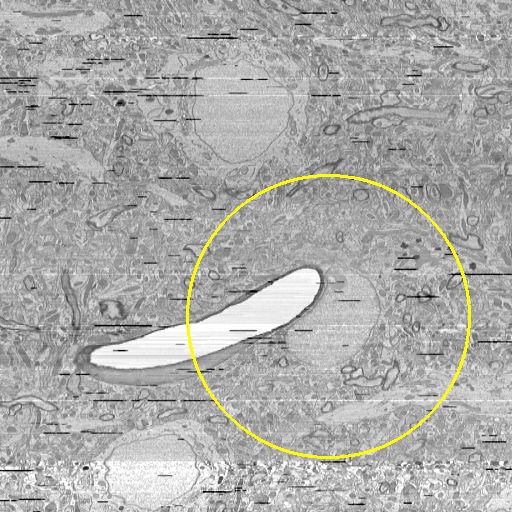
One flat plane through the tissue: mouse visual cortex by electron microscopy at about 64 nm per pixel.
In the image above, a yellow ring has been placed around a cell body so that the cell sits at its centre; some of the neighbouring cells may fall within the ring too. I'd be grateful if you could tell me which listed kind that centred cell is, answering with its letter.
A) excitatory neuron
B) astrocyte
B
